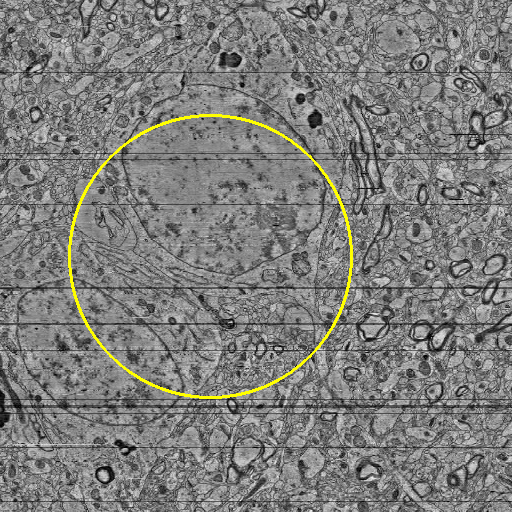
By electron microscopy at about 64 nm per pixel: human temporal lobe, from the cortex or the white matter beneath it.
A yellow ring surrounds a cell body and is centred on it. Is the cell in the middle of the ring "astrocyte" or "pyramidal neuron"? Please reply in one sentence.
The ring is centred on a pyramidal neuron.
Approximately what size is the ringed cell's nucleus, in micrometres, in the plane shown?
In this plane, approximately 13 micrometres across.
